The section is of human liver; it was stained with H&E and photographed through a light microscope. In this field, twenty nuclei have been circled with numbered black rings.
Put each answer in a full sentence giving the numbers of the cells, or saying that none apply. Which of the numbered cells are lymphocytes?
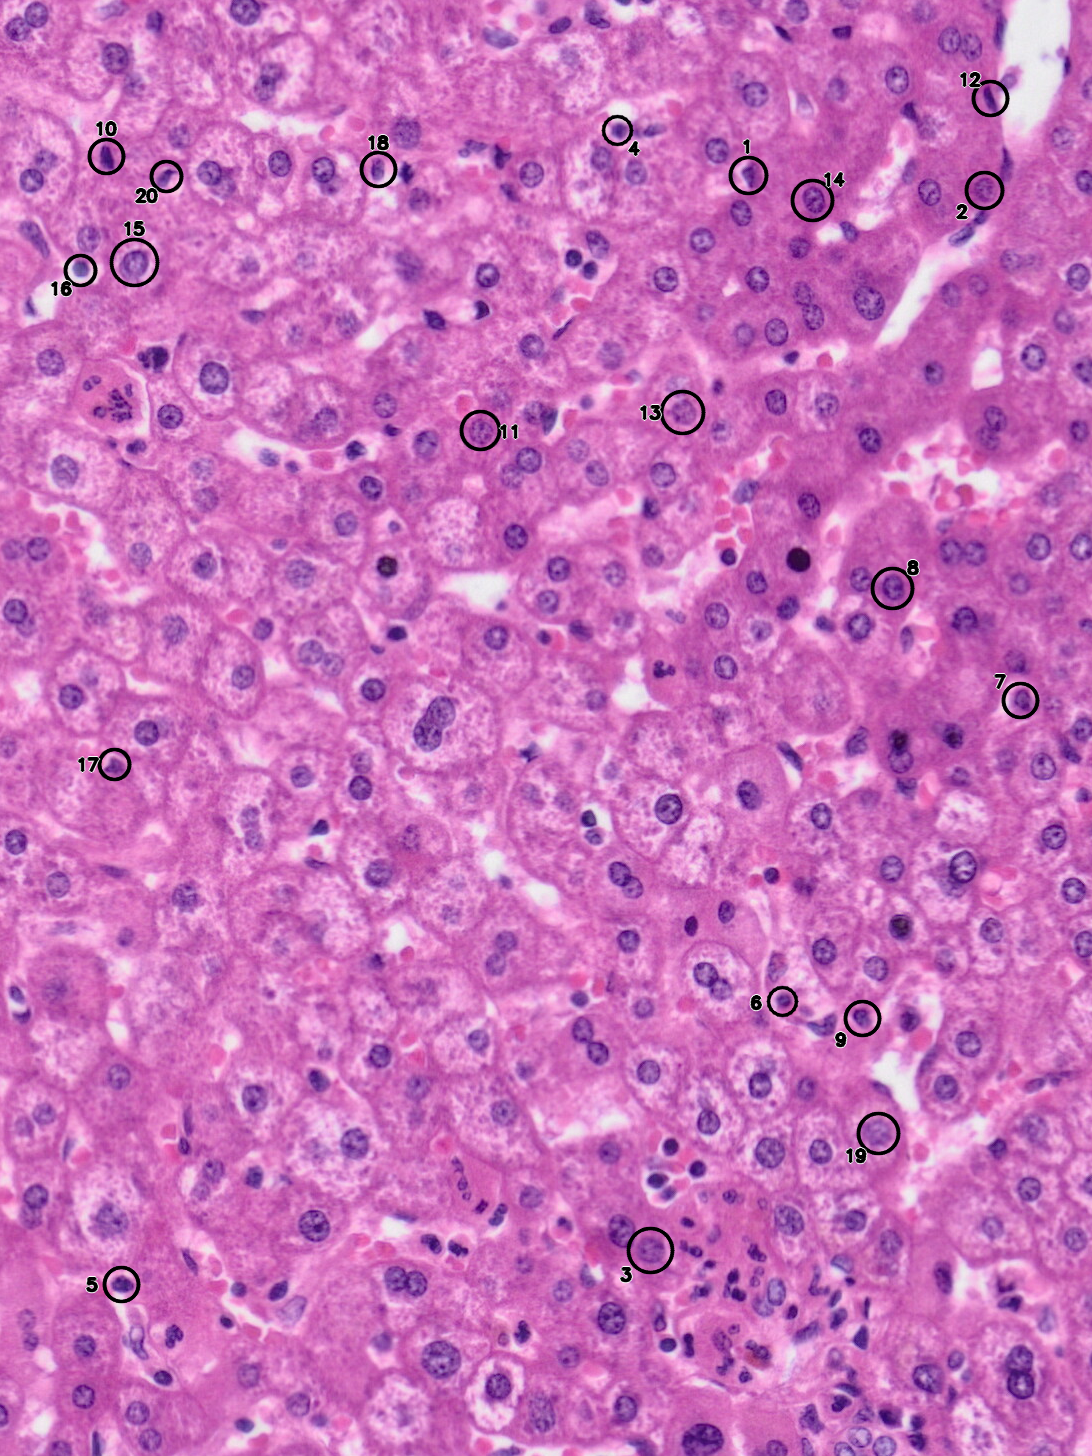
The cells that the numbers 4, 5, 6, 9, 16 and 18 belong to are lymphocytes.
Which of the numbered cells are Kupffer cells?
Of the cells bearing numbers, the only one that is a Kupffer cell is cell 7.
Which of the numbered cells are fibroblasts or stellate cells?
The cells with the numbers 10 and 12 are fibroblasts or stellate cells.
